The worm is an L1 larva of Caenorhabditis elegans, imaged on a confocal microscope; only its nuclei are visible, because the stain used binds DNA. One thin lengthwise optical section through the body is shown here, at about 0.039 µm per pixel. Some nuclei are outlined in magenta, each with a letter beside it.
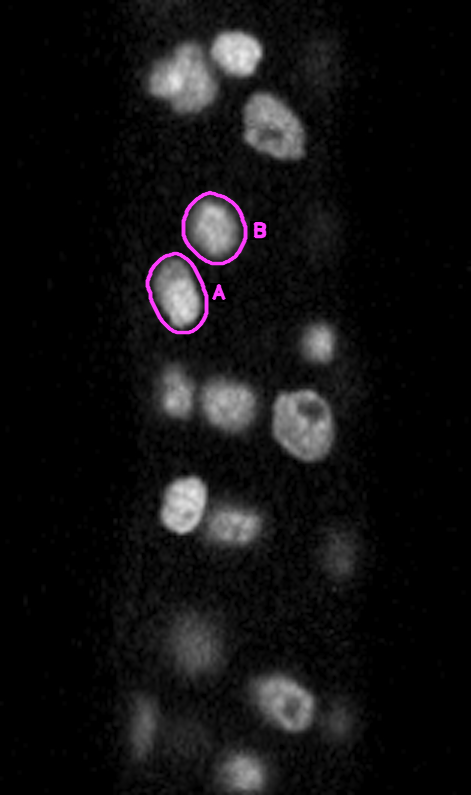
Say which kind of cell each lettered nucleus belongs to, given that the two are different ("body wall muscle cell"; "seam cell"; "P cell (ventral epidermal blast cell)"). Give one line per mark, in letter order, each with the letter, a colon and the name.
A: body wall muscle cell
B: seam cell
